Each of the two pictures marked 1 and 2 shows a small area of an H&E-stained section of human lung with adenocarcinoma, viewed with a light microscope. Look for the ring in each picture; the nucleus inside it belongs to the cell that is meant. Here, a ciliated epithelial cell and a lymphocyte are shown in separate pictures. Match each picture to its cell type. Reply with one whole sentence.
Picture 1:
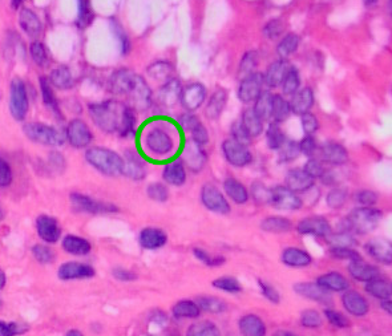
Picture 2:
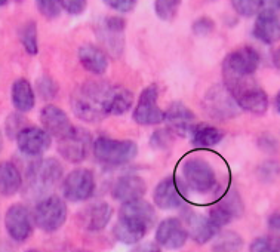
The cell in picture 1 is a ciliated epithelial cell, and the one in picture 2 is a lymphocyte.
